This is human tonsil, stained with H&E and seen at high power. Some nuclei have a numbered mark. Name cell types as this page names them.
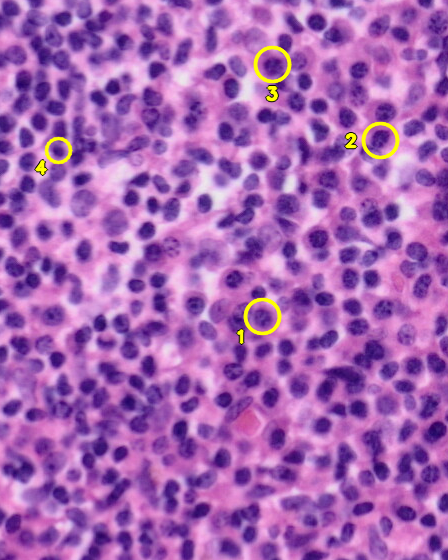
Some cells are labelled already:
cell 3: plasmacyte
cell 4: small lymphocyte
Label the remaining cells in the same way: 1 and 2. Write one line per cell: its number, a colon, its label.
1: plasmacyte
2: plasmacyte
